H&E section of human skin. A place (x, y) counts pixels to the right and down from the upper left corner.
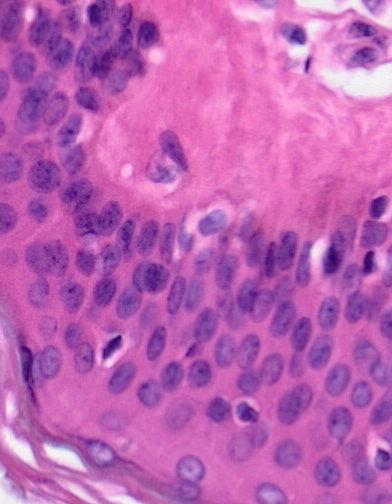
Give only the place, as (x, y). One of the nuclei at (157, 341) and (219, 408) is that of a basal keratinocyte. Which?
(157, 341)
